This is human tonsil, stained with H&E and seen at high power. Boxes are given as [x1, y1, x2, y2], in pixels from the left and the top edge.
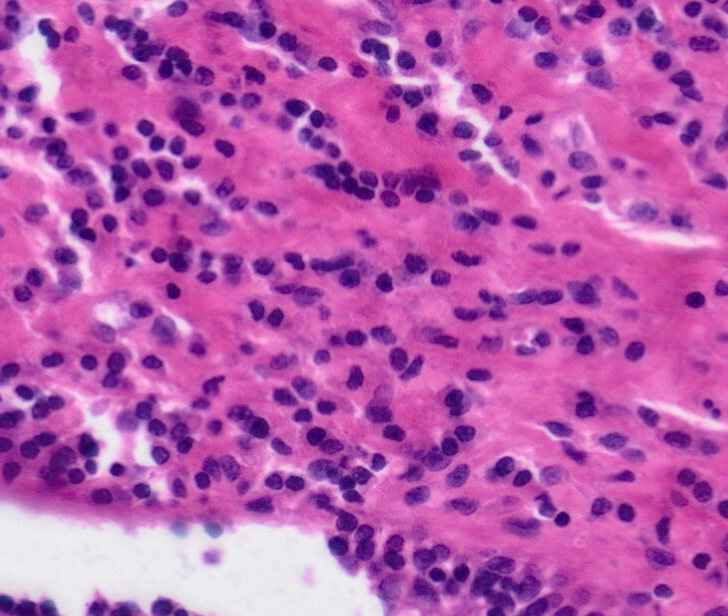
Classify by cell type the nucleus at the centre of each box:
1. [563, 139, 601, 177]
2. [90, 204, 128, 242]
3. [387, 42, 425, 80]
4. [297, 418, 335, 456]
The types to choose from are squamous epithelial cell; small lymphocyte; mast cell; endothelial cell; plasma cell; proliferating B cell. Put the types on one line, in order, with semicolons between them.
endothelial cell; plasma cell; plasma cell; plasma cell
